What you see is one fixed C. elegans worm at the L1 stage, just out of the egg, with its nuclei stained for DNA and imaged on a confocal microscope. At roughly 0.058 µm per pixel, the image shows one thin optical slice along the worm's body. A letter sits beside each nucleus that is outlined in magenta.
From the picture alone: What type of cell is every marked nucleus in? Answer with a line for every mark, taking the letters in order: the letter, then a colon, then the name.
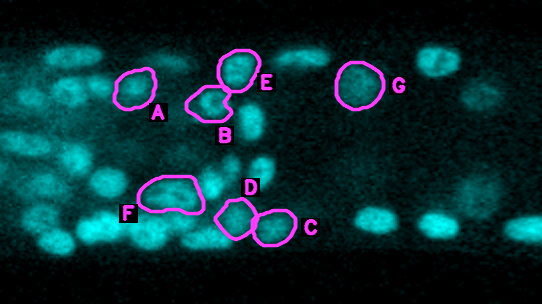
A: neuron
B: pharyngeal gland cell
C: neuron
D: neuron
E: body wall muscle cell
F: pharyngeal marginal cell
G: intestinal cell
